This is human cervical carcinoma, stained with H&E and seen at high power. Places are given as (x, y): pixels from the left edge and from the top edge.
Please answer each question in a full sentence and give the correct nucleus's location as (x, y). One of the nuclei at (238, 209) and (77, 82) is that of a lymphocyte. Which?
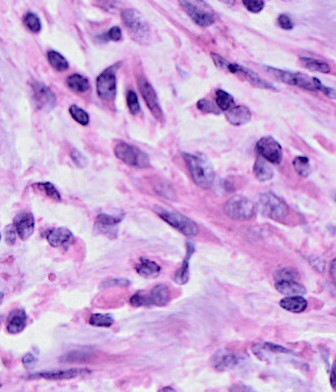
The nucleus at position (77, 82) belongs to a lymphocyte.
